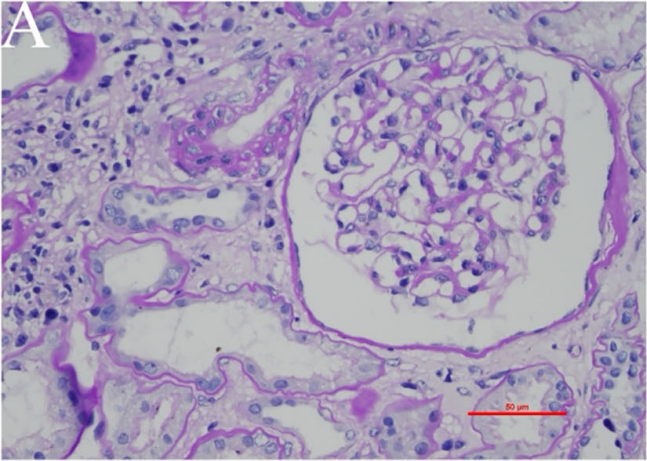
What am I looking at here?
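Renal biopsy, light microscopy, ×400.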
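A kidney glomerulus sits within a widened Bowman's space, surrounded by tubules and interstitium. Small dark nuclei are scattered through the tuft, and the capsule and tubular basement membranes stain sharply magenta. The adjacent interstitium contains many small round nuclei among tubules with pale cytoplasm.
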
